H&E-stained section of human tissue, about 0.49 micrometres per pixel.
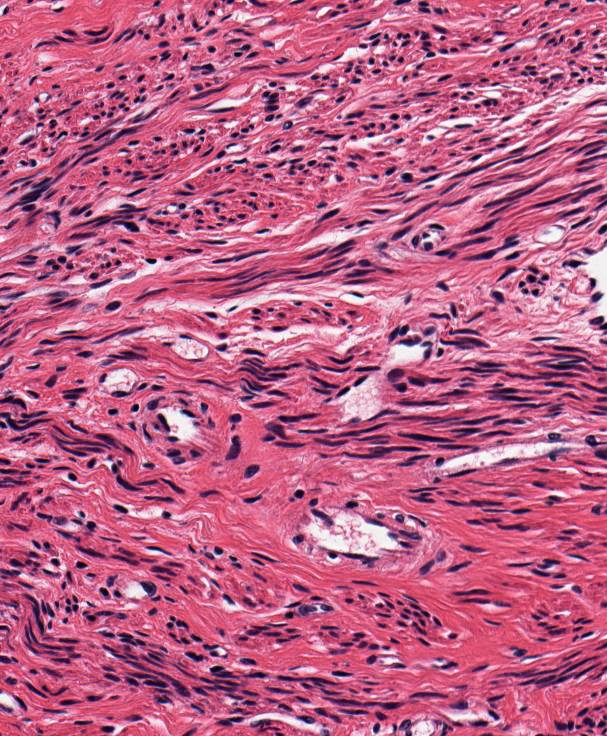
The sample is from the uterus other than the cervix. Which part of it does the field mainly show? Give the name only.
smooth muscle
